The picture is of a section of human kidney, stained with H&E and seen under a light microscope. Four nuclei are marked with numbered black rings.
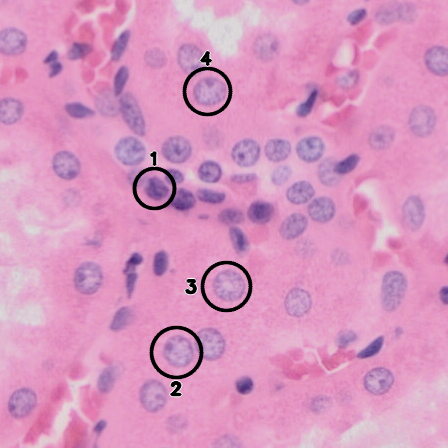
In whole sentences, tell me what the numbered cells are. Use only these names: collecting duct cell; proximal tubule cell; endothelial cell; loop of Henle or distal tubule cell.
Cell 1 is a collecting duct cell, cell 2 is a proximal tubule cell, cell 3 is a proximal tubule cell and cell 4 is a proximal tubule cell.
